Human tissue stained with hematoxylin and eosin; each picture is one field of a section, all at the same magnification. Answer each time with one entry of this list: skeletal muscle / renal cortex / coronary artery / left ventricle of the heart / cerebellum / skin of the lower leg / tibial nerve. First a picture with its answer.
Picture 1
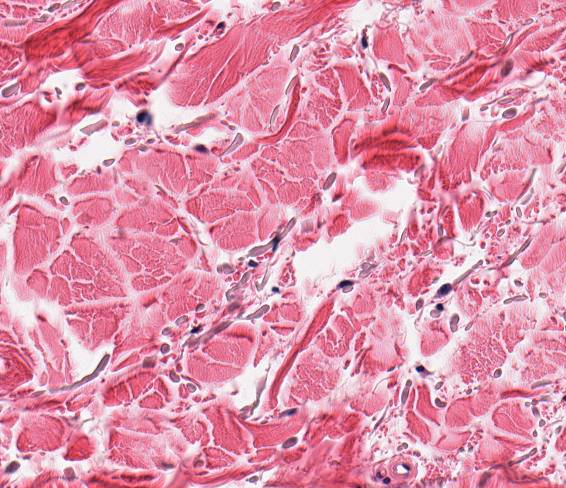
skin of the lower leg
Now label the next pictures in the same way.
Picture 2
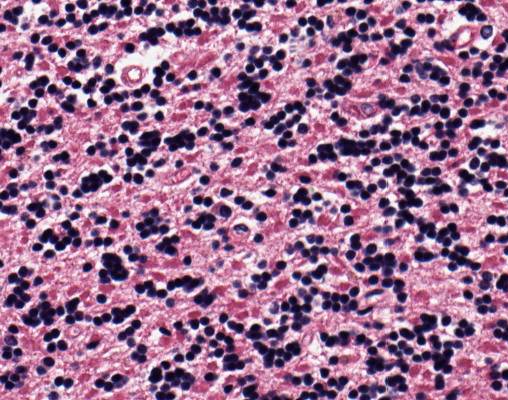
cerebellum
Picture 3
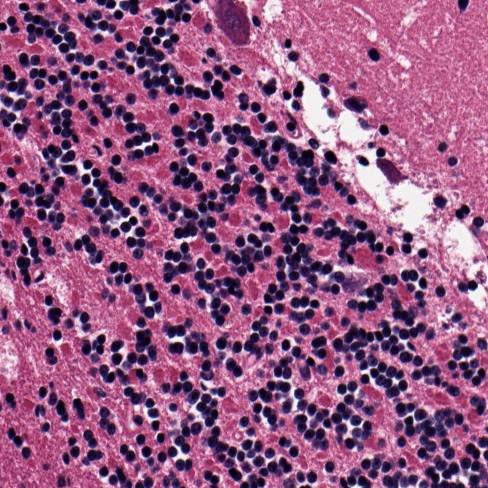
cerebellum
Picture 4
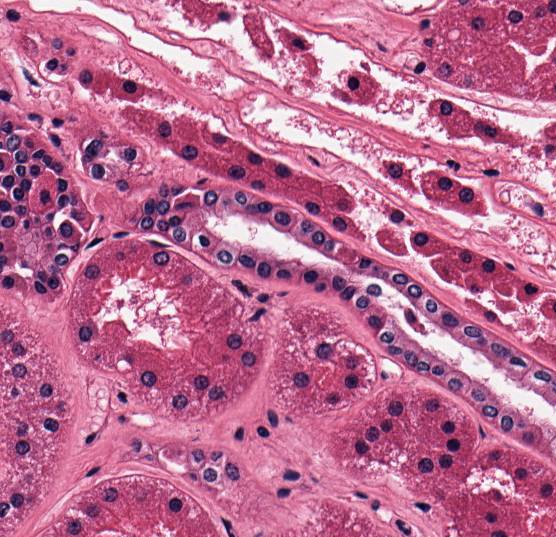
renal cortex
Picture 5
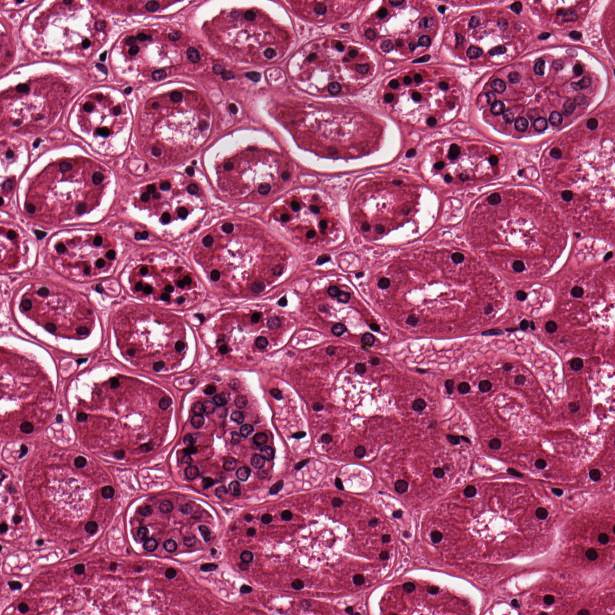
renal cortex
